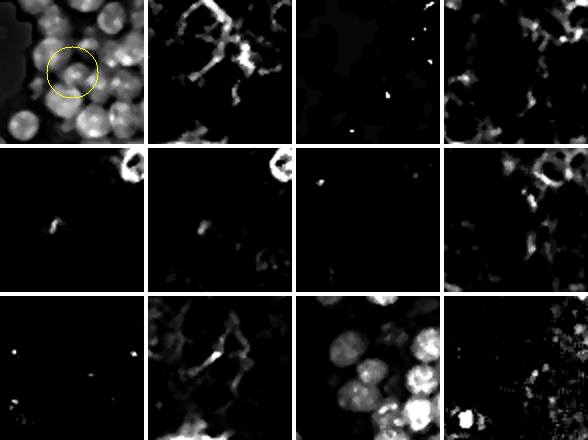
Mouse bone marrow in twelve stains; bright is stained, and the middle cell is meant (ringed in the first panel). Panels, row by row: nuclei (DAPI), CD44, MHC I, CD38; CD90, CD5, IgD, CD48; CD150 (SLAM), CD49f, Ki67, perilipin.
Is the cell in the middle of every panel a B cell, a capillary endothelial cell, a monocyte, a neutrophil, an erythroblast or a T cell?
It is an erythroblast.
